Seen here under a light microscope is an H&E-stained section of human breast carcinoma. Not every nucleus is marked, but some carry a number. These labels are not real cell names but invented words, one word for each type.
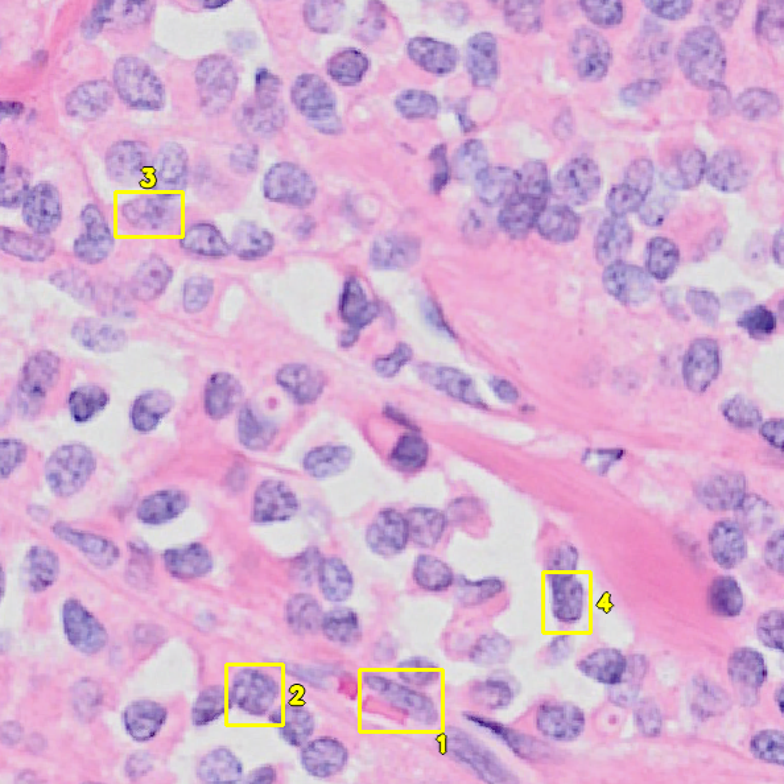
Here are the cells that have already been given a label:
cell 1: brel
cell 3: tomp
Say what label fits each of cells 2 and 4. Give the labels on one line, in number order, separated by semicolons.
tomp; tomp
